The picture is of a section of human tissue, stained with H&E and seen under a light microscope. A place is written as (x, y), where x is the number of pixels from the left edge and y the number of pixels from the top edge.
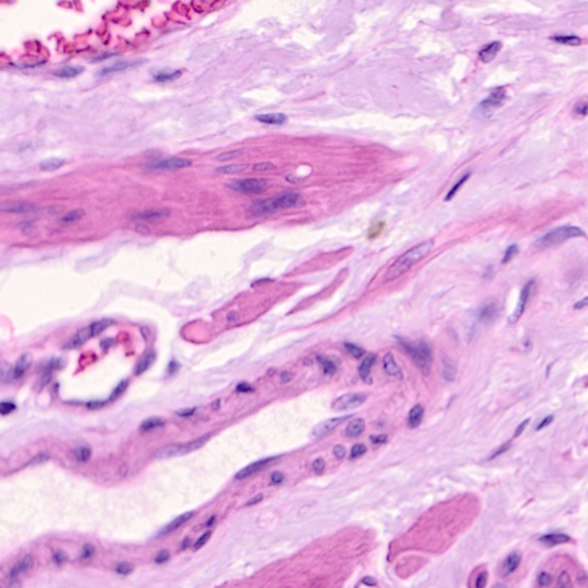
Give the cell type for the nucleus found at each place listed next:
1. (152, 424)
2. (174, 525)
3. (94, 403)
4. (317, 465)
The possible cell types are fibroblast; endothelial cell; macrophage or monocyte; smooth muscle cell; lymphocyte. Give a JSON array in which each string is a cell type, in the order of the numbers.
["smooth muscle cell", "endothelial cell", "endothelial cell", "smooth muscle cell"]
